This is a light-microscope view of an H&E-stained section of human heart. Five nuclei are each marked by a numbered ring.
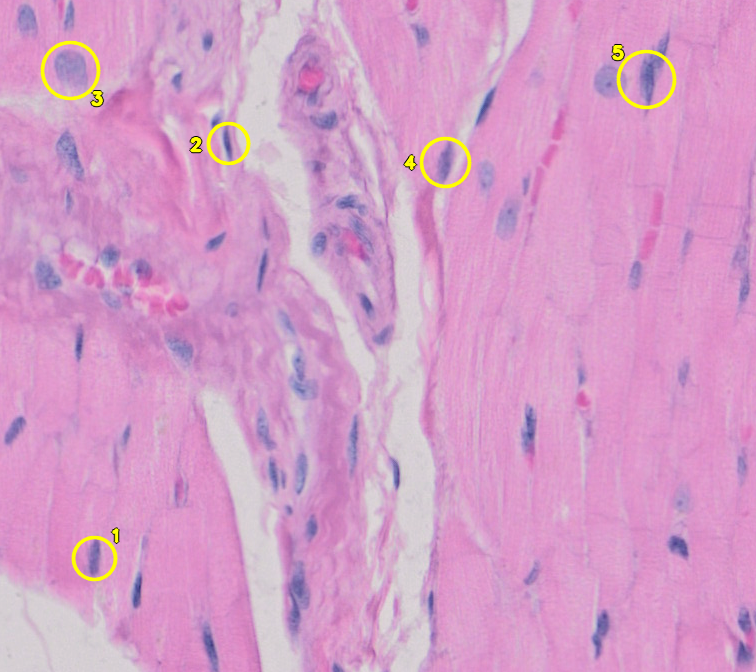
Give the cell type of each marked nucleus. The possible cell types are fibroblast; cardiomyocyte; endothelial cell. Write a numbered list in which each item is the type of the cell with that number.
1. endothelial cell
2. fibroblast
3. cardiomyocyte
4. fibroblast
5. endothelial cell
